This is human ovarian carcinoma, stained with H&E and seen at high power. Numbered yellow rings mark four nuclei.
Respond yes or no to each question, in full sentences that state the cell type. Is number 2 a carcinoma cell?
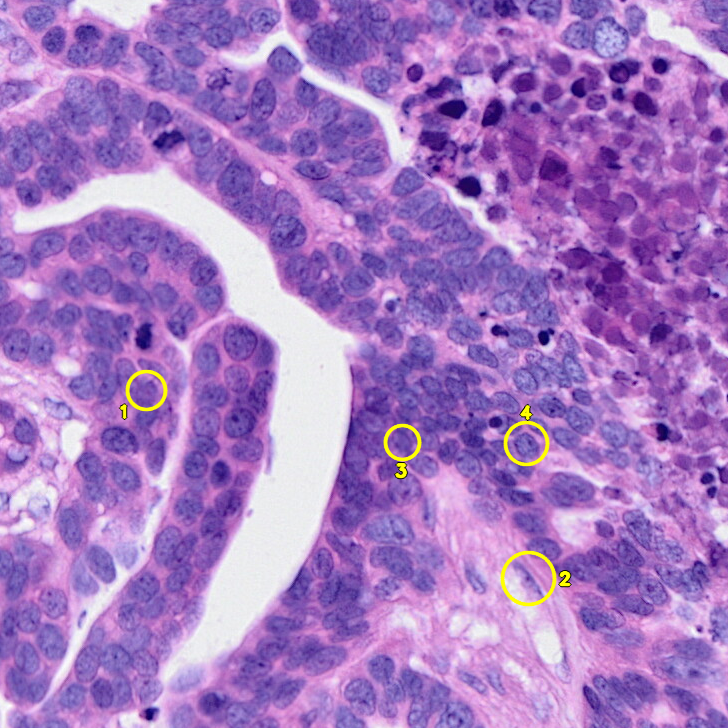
No, cell 2 is not a carcinoma cell; a fibroblast is correct.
